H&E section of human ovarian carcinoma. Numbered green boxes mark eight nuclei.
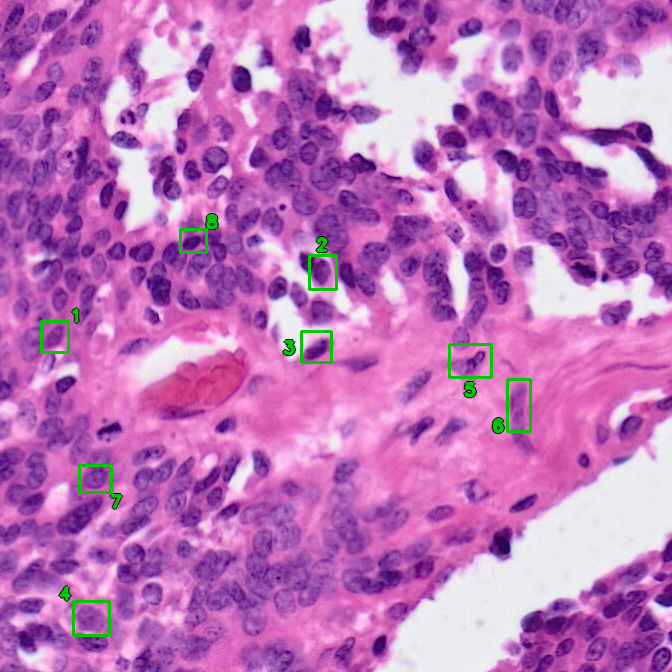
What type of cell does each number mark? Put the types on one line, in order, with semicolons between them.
carcinoma cell; carcinoma cell; macrophage or monocyte; carcinoma cell; fibroblast; fibroblast; carcinoma cell; carcinoma cell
